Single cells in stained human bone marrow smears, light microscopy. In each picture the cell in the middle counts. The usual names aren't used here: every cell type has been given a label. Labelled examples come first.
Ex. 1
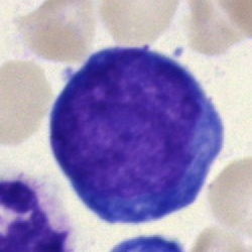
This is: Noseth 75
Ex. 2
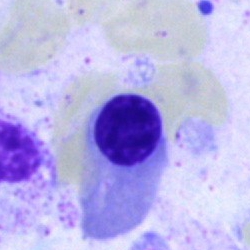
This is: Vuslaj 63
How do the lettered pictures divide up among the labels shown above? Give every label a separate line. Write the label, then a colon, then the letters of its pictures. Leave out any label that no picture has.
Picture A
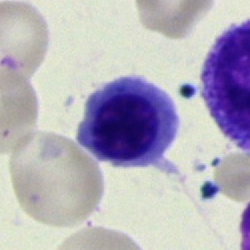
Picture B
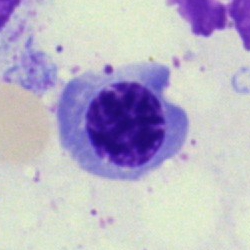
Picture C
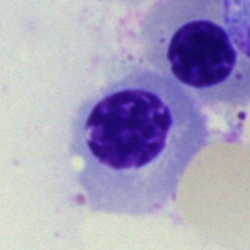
Vuslaj 63: A, B, C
